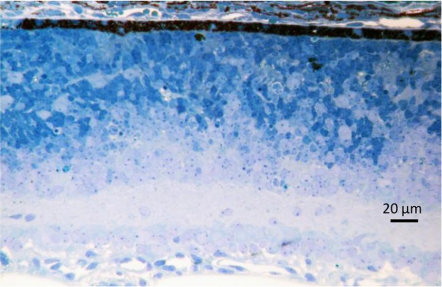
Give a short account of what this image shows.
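This is a section of retina stained in shades of blue, with a dark pigmented epithelium as a black band along the top. Beneath it, blue-stained nuclei crowd the outer part of the tissue in an irregular, disorganized arrangement. There is no clear pale band of inner segments and no distinct thin plexiform layer separating outer from inner nuclei. Deeper down a paler, fibrillar zone lies above scattered cells at the inner surface. Overall the normal sharp layering of the retina is lost.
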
